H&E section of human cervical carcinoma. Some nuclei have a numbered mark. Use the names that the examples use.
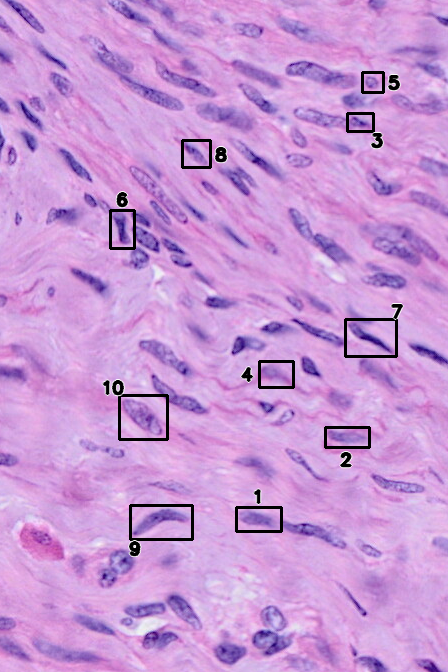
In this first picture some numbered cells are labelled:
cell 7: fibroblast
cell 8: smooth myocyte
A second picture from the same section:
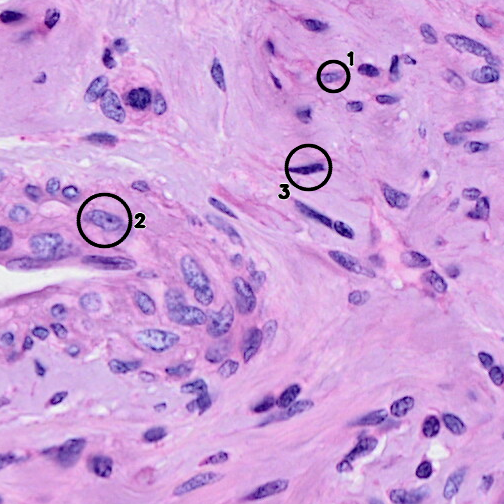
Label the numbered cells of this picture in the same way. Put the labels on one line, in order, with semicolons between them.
smooth myocyte; smooth myocyte; fibroblast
